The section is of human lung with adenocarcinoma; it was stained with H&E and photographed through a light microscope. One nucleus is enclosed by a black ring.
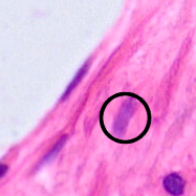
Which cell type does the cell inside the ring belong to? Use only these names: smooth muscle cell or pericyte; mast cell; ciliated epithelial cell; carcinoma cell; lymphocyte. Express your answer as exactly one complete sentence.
Among the cells in this section, the cell inside the ring is a smooth muscle cell or pericyte.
